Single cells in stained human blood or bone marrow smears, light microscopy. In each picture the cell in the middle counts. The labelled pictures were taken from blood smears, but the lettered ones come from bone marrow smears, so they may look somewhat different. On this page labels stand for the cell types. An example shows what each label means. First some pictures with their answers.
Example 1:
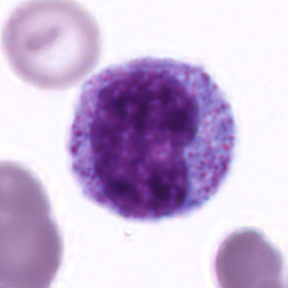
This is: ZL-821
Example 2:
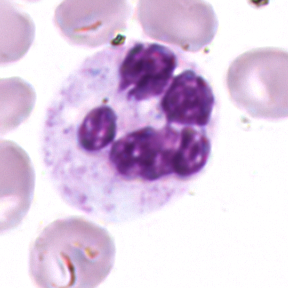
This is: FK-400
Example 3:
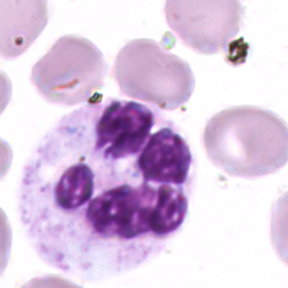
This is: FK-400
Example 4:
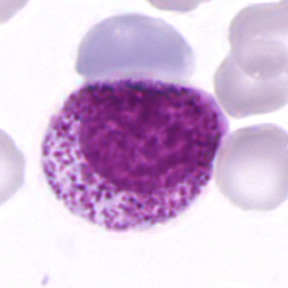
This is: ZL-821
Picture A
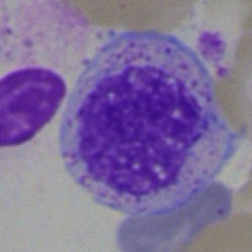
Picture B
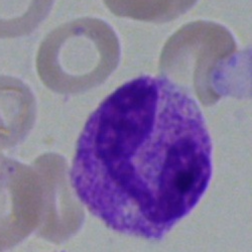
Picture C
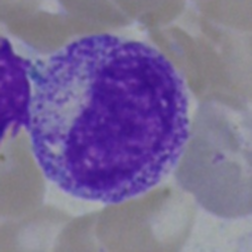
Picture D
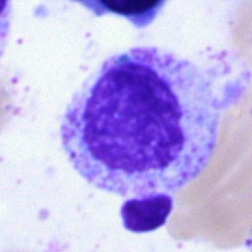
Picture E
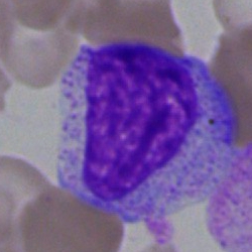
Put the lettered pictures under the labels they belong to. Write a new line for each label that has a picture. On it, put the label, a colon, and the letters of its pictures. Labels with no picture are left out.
ZL-821: A, C, D, E
FK-400: B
